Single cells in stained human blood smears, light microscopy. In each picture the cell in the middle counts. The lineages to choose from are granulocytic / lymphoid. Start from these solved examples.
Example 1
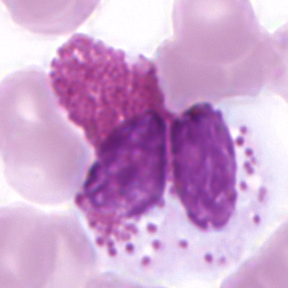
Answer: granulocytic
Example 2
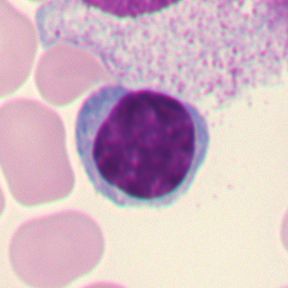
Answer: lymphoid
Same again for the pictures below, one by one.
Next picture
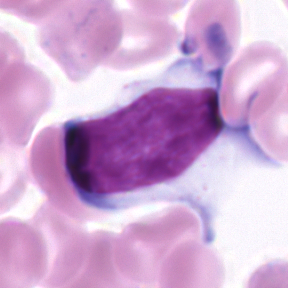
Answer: lymphoid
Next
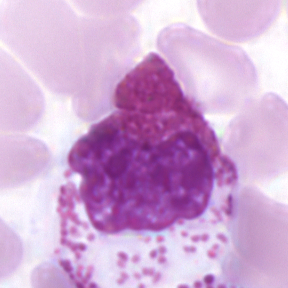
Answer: granulocytic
